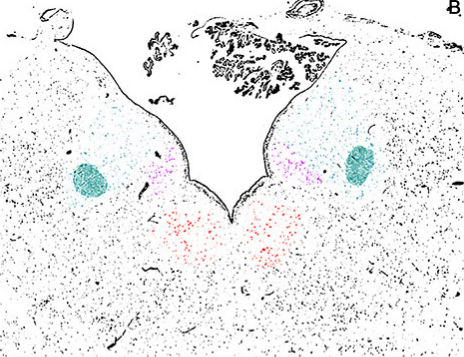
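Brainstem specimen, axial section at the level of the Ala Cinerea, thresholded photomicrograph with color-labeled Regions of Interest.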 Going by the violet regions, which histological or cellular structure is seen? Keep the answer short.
Dorsal Motor Nucleus of the Vagus.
